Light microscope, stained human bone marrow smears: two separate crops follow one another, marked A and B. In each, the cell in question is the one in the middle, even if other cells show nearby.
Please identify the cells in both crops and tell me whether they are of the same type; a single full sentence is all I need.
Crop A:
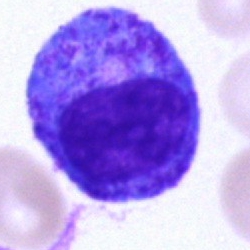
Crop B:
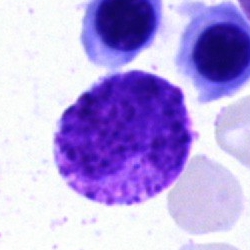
No, crop A represents a promyelocyte, and crop B represents a basophil.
